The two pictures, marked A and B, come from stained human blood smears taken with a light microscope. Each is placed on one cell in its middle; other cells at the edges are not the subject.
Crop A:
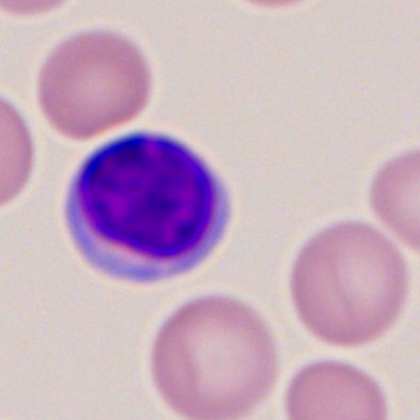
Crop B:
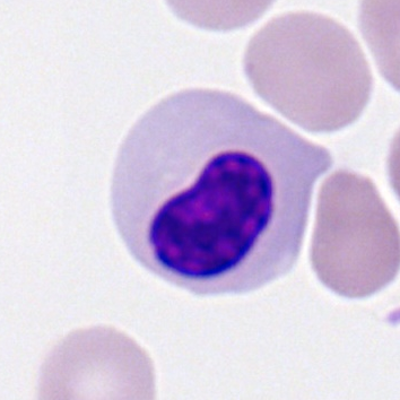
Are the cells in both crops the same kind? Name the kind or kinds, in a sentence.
No, it is a lymphocyte in crop A and a normoblast in crop B.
